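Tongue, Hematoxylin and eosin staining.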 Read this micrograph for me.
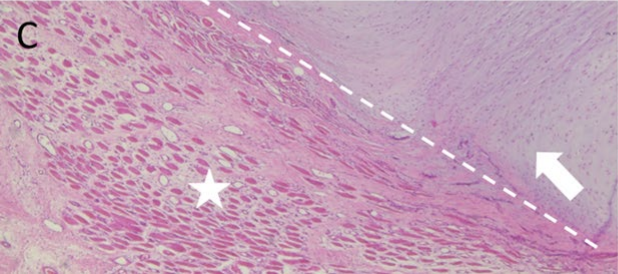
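Many pink, cross-cut muscle fibres fill the left side, arranged in bundles with pale spaces between them, while a pale bluish, sparsely cellular mass occupies the upper right. Along the border between the two, the fibres become thinner and flattened.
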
